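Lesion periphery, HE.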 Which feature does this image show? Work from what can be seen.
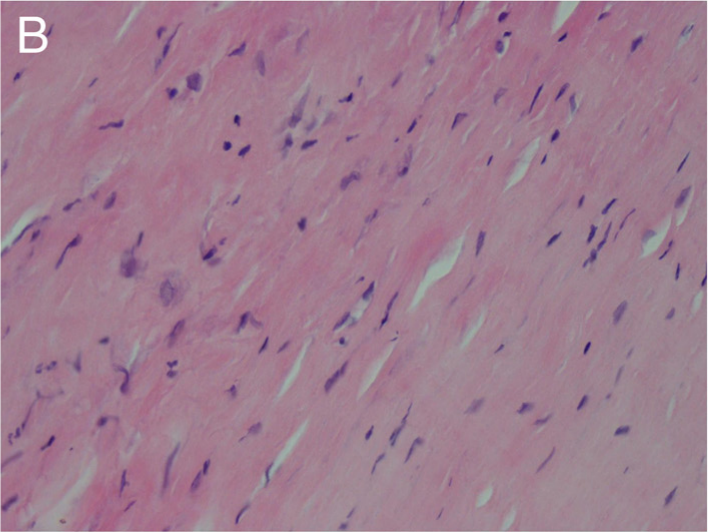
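Narrow elongated clear gaps run parallel to the fibres. Gaps are scattered across the field.
Hence: slit-like spaces.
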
